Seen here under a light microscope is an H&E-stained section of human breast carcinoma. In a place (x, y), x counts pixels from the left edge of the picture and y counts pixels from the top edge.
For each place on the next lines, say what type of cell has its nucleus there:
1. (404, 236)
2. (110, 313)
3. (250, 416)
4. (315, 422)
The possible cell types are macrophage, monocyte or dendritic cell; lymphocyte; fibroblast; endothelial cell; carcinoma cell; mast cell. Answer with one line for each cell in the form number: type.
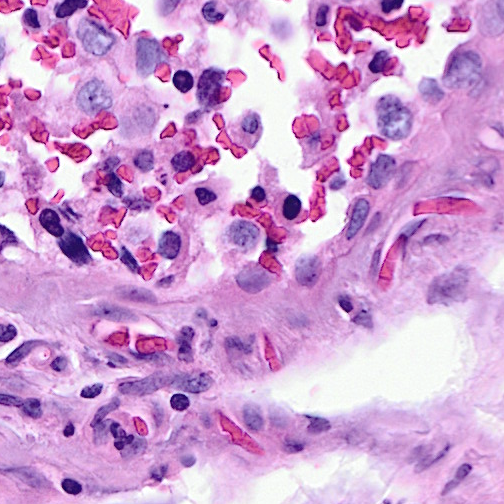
1: endothelial cell
2: endothelial cell
3: endothelial cell
4: fibroblast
